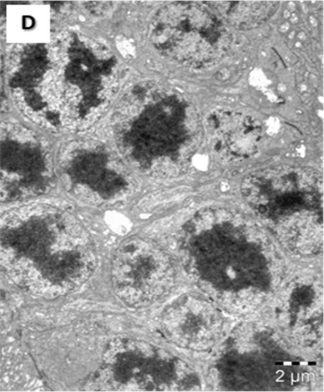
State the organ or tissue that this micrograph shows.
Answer: The outer nuclear layer.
